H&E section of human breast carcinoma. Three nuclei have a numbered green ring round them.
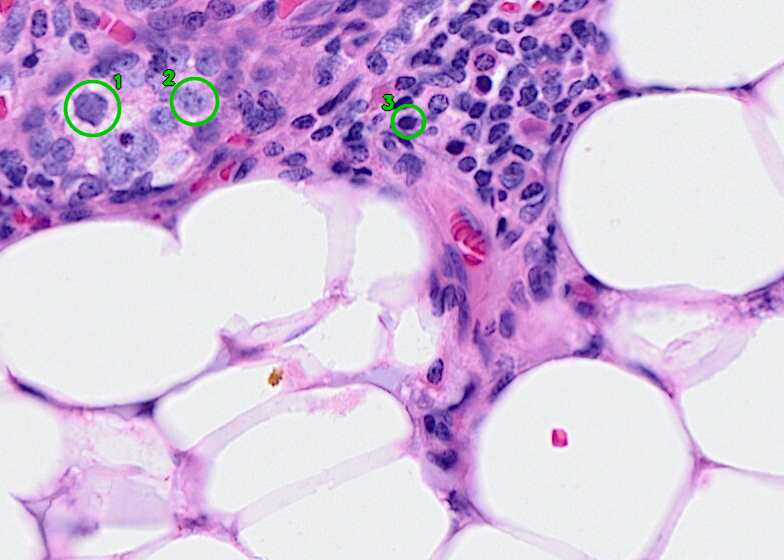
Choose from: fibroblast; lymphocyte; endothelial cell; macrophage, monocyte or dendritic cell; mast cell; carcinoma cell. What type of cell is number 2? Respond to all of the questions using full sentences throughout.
Cell 2 in the field is a carcinoma cell.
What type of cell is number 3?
The marked cell with the number 3 is recognised as a lymphocyte.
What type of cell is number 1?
The cell marked with number 1 is a carcinoma cell.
